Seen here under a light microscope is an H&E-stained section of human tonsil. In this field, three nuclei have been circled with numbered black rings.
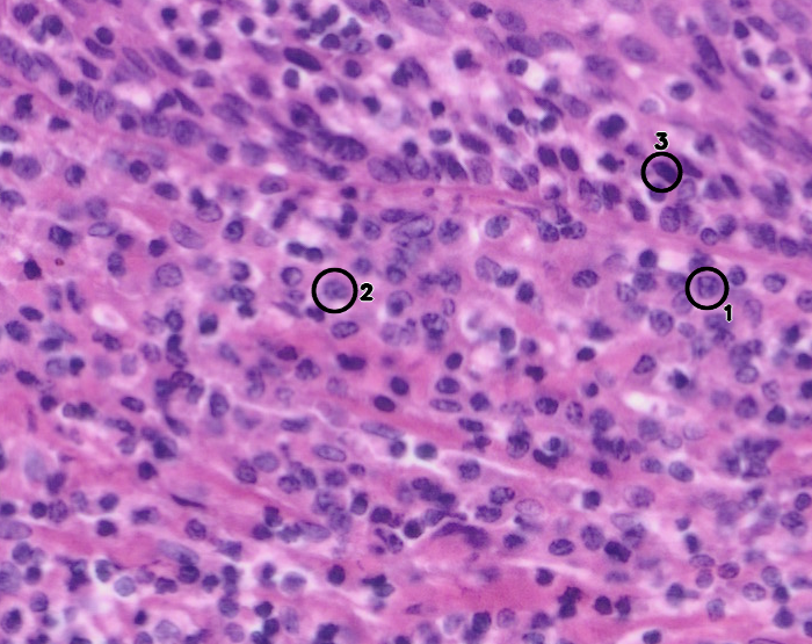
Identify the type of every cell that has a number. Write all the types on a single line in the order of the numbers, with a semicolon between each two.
plasma cell; plasma cell; squamous epithelial cell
